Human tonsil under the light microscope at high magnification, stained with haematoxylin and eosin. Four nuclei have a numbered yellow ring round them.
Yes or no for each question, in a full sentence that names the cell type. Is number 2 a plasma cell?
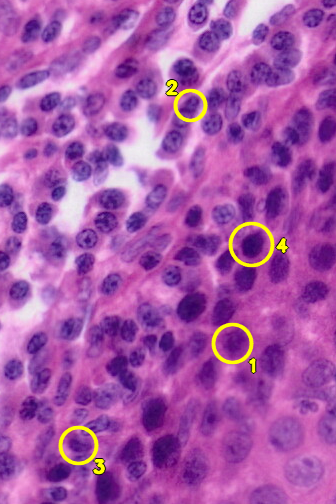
Yes, to put it simply, cell number 2 is a plasma cell.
